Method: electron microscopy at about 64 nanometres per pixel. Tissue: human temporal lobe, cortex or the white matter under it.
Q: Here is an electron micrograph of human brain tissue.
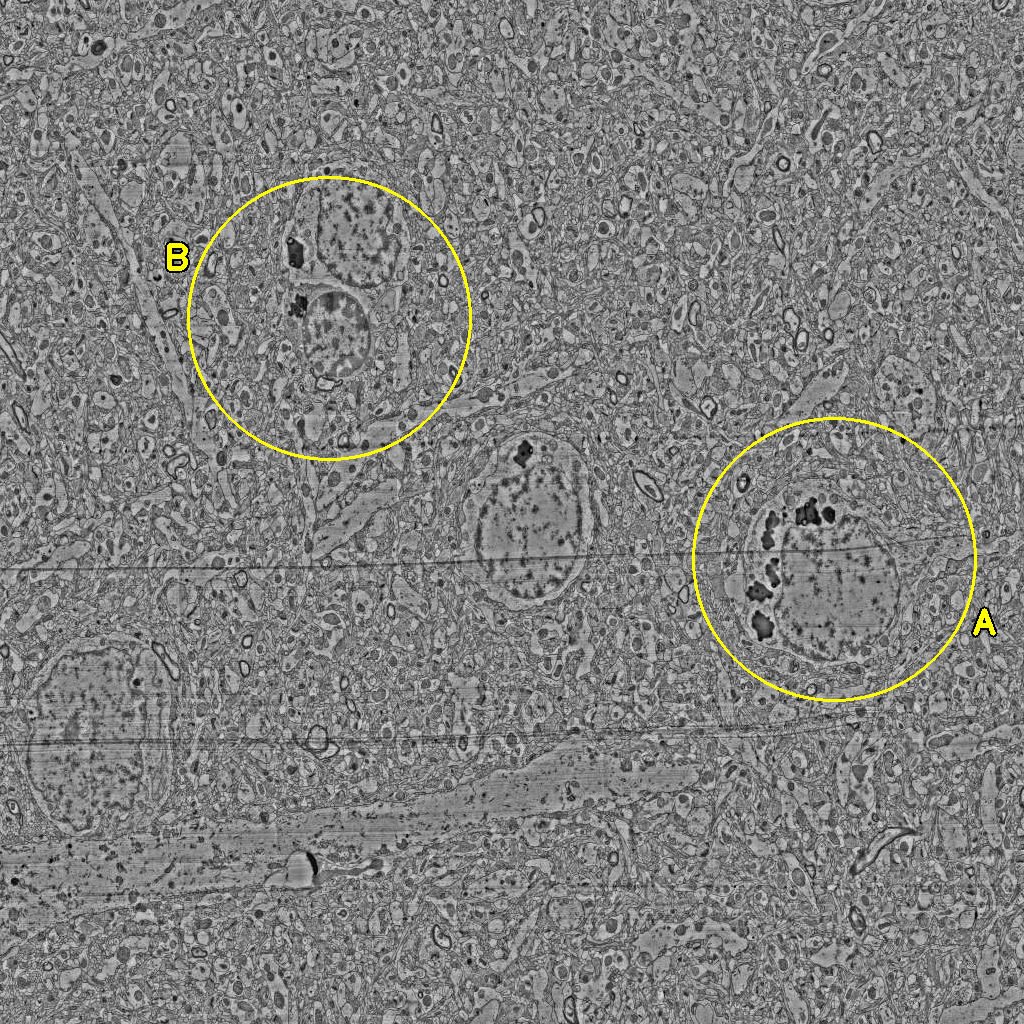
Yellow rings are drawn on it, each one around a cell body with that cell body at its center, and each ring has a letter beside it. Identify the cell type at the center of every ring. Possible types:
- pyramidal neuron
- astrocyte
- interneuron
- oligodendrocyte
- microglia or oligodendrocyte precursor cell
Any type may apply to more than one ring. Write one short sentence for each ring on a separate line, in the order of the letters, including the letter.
Centered in ring A is an interneuron.
Centered in ring B is an oligodendrocyte.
